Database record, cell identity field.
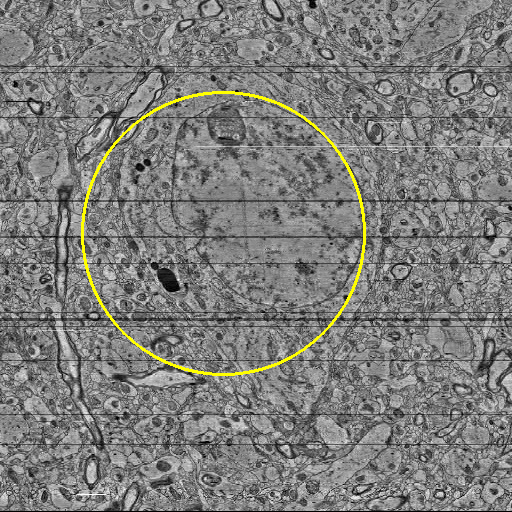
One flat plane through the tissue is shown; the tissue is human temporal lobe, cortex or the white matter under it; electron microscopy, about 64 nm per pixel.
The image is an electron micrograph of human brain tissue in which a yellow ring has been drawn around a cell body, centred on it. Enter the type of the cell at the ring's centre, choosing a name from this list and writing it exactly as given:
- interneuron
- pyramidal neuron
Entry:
pyramidal neuron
